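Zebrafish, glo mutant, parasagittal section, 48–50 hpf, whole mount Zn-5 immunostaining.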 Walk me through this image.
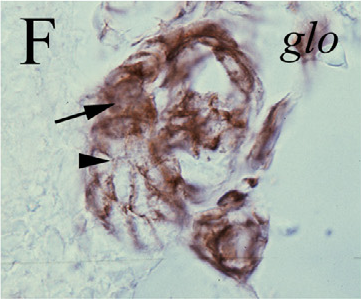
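Unlike a regular fine meshwork of cell borders, the wall here is disorganized: many myocardiocytes are round, with brown stain both on their membranes and filling their cytoplasm, so they appear as dense rings and blobs. Some cells show only faint brown outlines. The stained cells are arranged in irregular loops and clusters around pale spaces, and the chamber outline is uneven. Pale unstained tissue surrounds the heart.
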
